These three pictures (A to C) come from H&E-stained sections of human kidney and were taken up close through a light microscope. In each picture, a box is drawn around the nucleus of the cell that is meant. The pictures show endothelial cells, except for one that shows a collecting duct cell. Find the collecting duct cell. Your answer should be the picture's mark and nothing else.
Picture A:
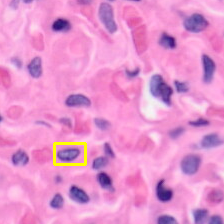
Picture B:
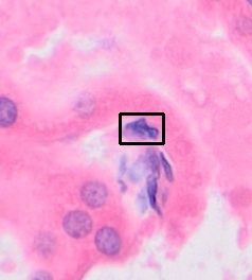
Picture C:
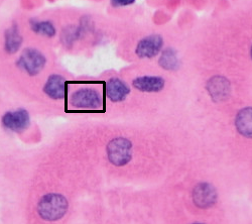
C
